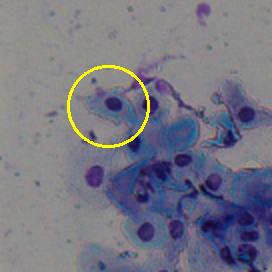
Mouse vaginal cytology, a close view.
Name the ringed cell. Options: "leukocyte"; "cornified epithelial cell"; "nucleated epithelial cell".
nucleated epithelial cell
